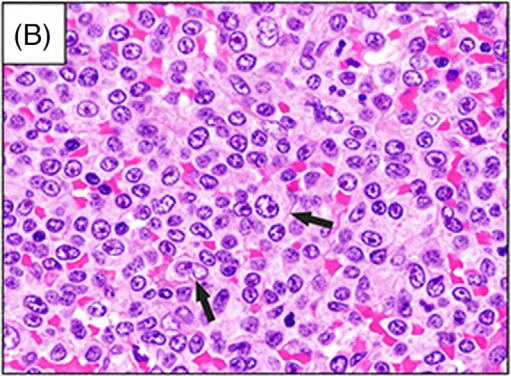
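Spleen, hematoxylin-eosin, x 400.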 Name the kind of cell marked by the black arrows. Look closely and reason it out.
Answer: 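Lymphoma cells. The marked cells have large round to oval vesicular nuclei. Prominent nucleoli sit in the nuclei. Similar atypical cells fill the field in sheets.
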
